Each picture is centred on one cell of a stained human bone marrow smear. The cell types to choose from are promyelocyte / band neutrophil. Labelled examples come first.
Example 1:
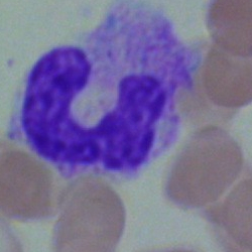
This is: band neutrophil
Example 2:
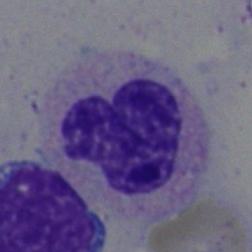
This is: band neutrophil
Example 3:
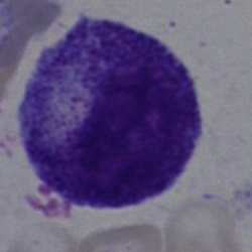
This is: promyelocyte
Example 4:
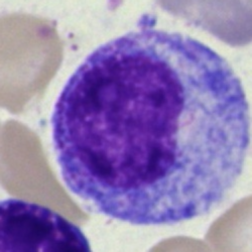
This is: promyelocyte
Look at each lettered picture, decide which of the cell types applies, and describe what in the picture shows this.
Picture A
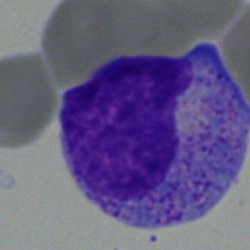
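promyelocyte. The chromatin is finely textured rather than coarsely clumped.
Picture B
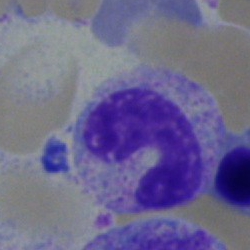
band neutrophil. The nucleus is horseshoe-shaped, curving around a deep notch.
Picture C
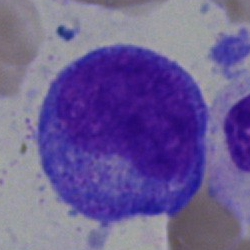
promyelocyte. The chromatin is fine and stippled rather than clumped into coarse dark blocks.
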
